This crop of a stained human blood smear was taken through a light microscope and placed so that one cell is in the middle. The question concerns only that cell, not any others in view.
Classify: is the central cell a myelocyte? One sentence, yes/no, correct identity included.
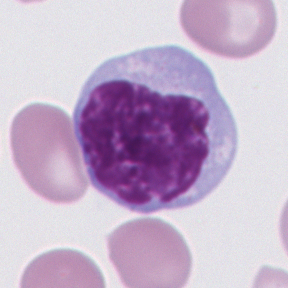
No, the central cell is counted as a large granular lymphocyte instead of a myelocyte.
